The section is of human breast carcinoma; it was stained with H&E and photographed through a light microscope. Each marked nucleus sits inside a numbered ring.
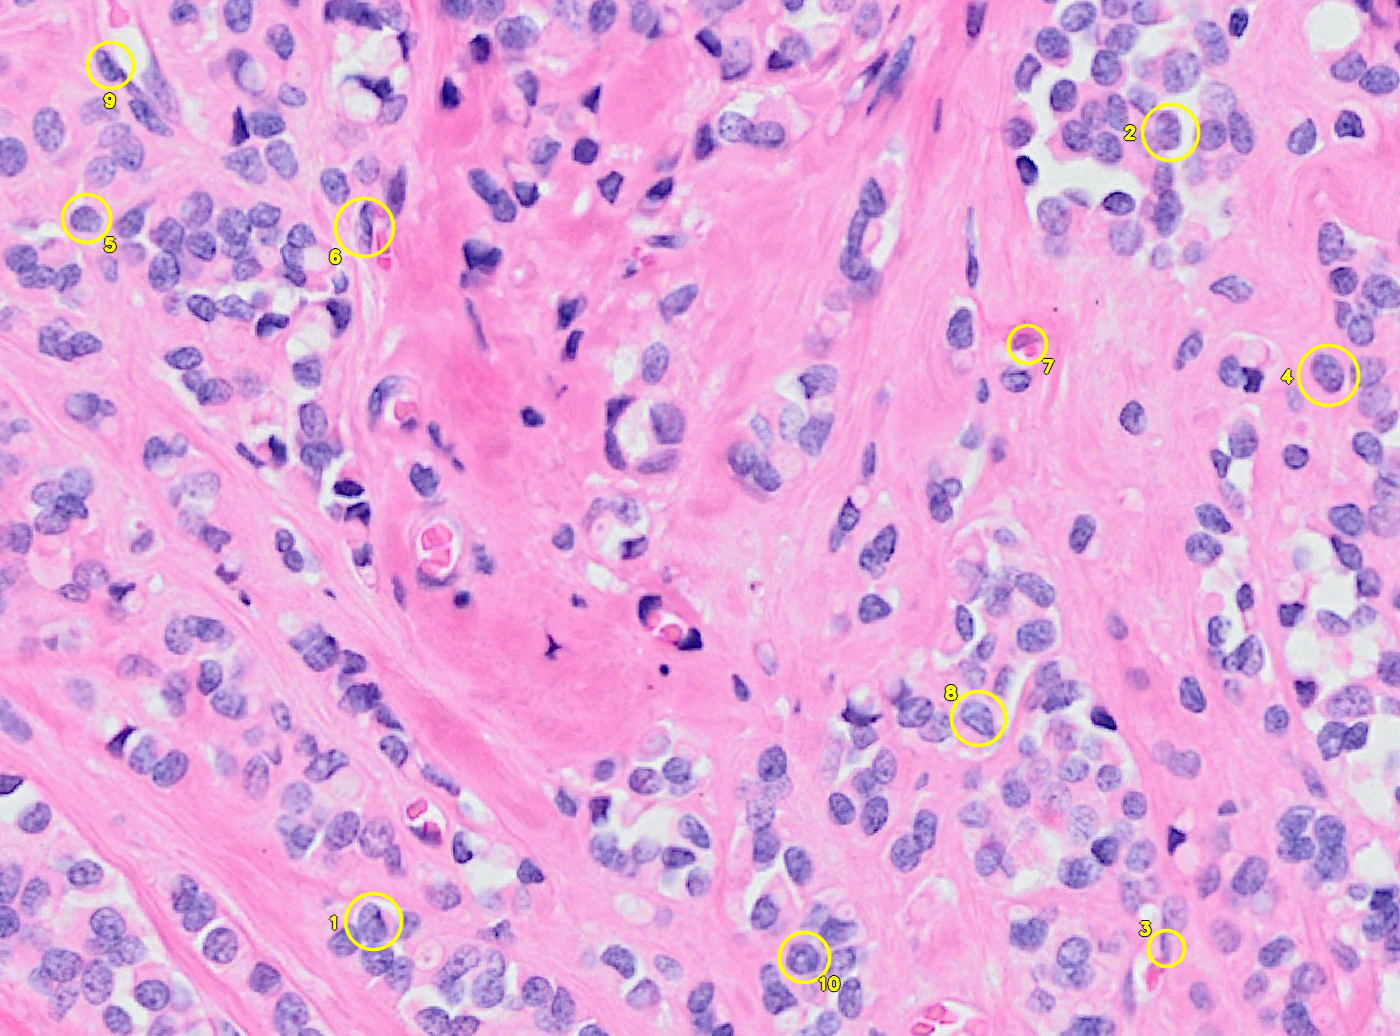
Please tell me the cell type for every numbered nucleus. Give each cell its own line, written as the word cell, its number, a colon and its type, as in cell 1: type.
cell 1: carcinoma cell
cell 2: carcinoma cell
cell 3: endothelial cell
cell 4: carcinoma cell
cell 5: carcinoma cell
cell 6: endothelial cell
cell 7: endothelial cell
cell 8: carcinoma cell
cell 9: endothelial cell
cell 10: carcinoma cell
